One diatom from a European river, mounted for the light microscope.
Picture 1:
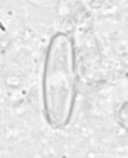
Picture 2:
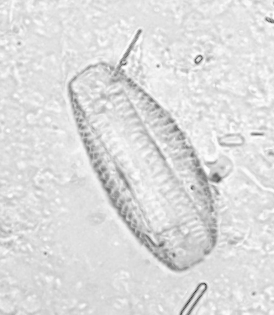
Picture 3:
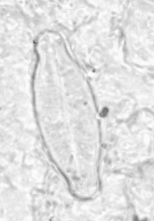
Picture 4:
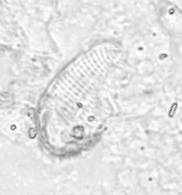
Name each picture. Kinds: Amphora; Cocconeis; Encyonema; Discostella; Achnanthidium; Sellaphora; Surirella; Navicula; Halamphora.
Picture 1: Sellaphora
Picture 2: Encyonema
Picture 3: Sellaphora
Picture 4: Cocconeis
